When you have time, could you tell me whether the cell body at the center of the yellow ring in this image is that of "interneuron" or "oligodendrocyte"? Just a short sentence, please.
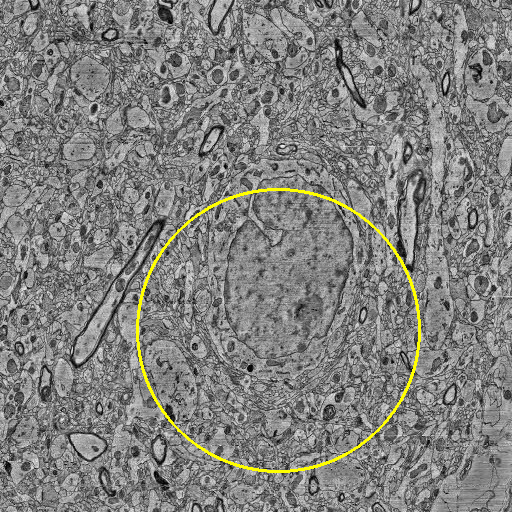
The cell body at the center of the ring is that of an interneuron.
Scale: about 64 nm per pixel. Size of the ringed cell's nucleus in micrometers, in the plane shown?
In this plane the nucleus is roughly 12 by 8 micrometres, clearly longer than it is wide.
